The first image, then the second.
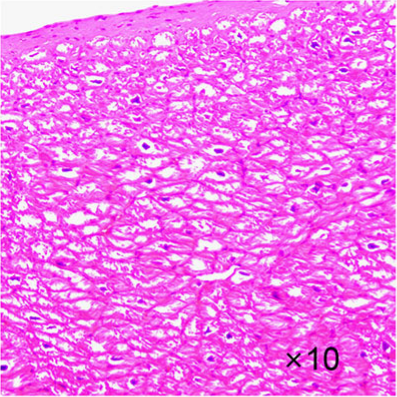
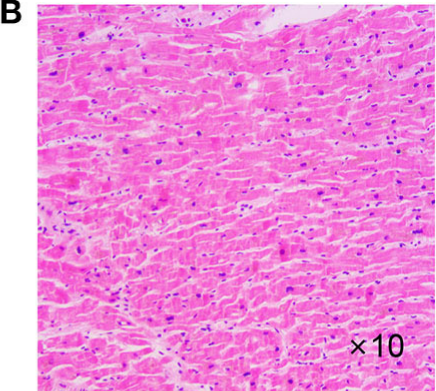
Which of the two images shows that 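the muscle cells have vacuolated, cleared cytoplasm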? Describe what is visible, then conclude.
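The first image. Second image: muscle fibres have evenly pink, solid cytoplasm. First image: many cells have pale empty spaces with only a lacy pink network.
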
